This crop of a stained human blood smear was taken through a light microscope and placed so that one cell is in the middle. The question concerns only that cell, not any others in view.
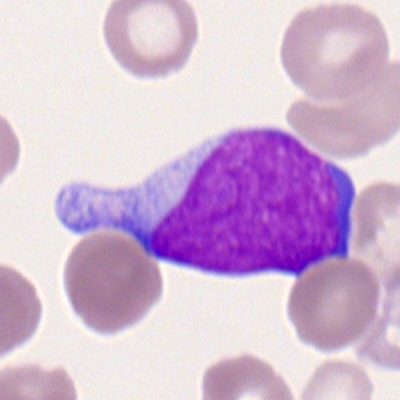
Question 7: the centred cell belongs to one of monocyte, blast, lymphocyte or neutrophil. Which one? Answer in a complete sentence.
The crop's centre is taken up by a blast.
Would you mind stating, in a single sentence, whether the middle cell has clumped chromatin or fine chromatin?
Heads up, the chromatin is fine with no coarse clumps in it.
